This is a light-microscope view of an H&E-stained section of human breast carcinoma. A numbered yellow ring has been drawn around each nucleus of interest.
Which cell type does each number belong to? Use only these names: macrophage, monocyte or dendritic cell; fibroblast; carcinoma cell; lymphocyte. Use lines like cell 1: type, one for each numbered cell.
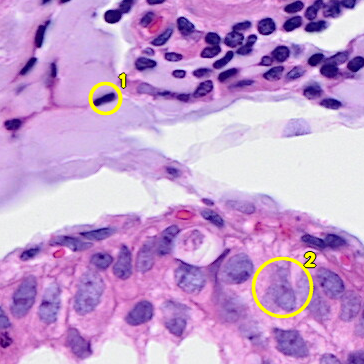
cell 1: lymphocyte
cell 2: carcinoma cell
